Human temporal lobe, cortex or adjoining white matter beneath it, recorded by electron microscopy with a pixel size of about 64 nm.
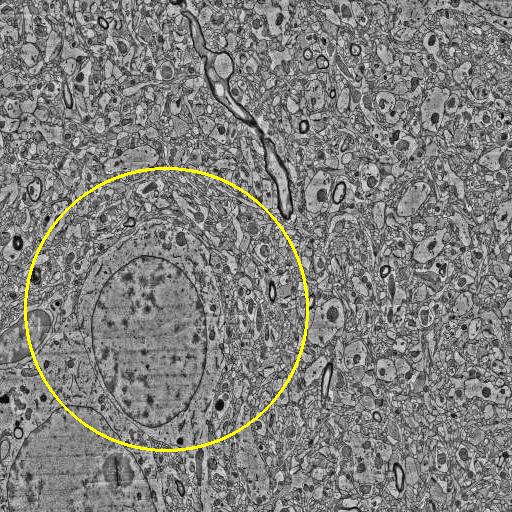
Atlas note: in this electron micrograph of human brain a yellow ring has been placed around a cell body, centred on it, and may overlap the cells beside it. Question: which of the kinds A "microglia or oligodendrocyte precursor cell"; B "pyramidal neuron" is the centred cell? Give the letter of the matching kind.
B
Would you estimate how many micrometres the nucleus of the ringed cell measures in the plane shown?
In this plane, approximately 11 by 8 micrometers.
